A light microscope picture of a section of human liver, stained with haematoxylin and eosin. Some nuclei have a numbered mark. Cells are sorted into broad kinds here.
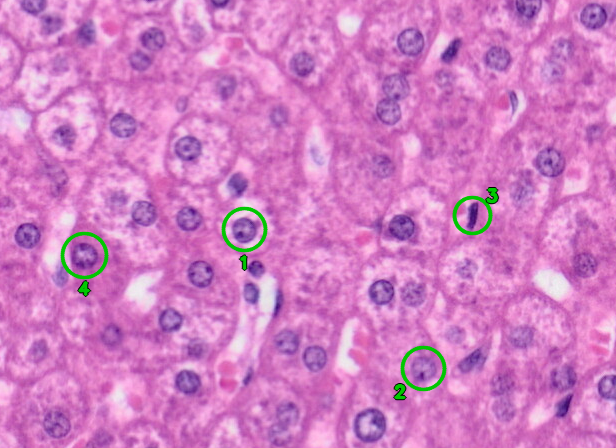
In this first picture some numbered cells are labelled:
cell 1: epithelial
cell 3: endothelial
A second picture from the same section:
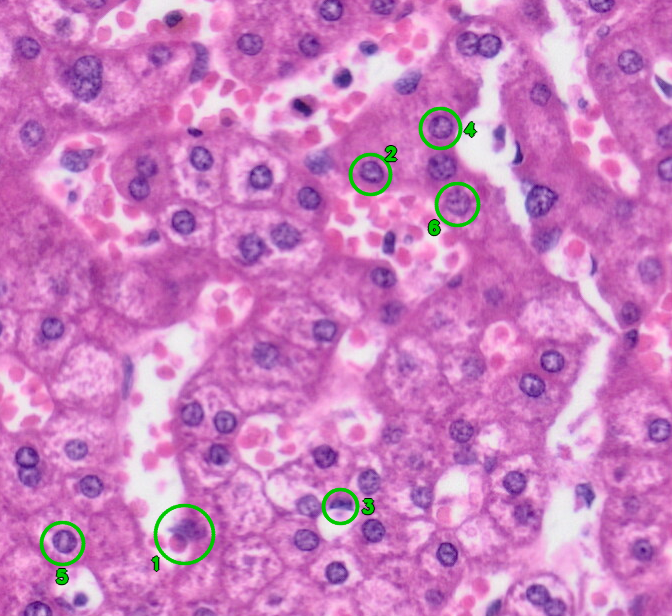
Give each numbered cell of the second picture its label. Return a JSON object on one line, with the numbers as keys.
{"1": "endothelial", "2": "epithelial", "3": "endothelial", "4": "epithelial", "5": "epithelial", "6": "epithelial"}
